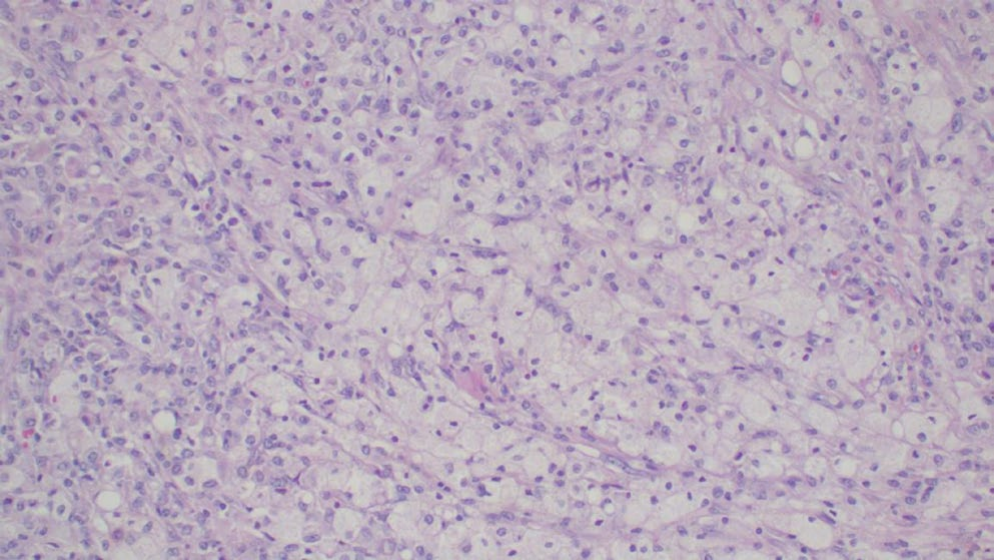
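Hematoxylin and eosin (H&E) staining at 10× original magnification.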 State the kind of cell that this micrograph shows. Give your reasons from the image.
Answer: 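Foamy macrophages. Many large cells have abundant pale, finely bubbly or vacuolated cytoplasm. These cells have small round to oval central nuclei. They lie packed in sheets between thin pink fibrous strands.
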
